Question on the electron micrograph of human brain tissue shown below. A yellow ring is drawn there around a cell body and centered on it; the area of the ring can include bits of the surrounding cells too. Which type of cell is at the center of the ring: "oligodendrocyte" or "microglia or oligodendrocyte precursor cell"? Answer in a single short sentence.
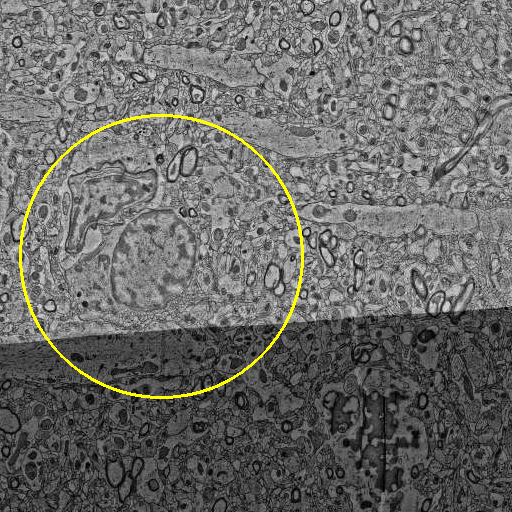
The ring is centered on an oligodendrocyte.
